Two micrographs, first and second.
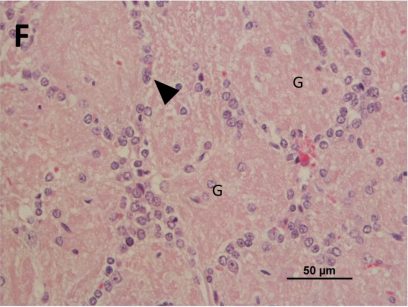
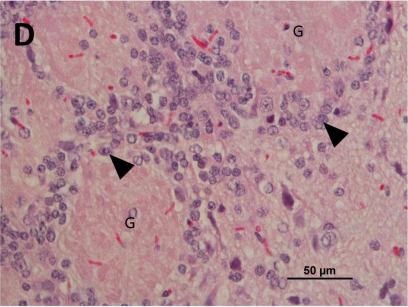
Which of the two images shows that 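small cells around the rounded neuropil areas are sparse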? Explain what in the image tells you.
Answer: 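First image: only thin rows of small nuclei separate the pale rounded areas. Second image: thick, crowded clusters of small dark nuclei surround the pale rounded areas.
The first image.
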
